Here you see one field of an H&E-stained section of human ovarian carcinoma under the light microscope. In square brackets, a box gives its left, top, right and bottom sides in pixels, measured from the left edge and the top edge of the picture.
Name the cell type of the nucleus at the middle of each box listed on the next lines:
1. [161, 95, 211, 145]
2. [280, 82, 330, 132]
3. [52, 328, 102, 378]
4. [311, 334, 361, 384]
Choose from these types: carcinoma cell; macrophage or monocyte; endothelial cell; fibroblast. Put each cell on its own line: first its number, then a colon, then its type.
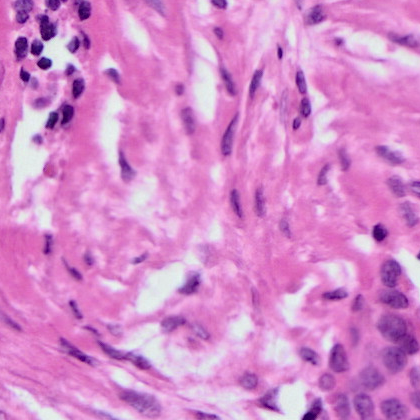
1: fibroblast
2: fibroblast
3: fibroblast
4: carcinoma cell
